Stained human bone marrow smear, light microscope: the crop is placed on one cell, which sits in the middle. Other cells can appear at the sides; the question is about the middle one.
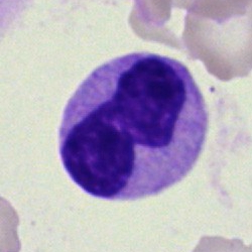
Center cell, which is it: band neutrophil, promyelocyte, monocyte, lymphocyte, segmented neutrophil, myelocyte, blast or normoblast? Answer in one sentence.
What sits at the centre of this crop is a band neutrophil.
